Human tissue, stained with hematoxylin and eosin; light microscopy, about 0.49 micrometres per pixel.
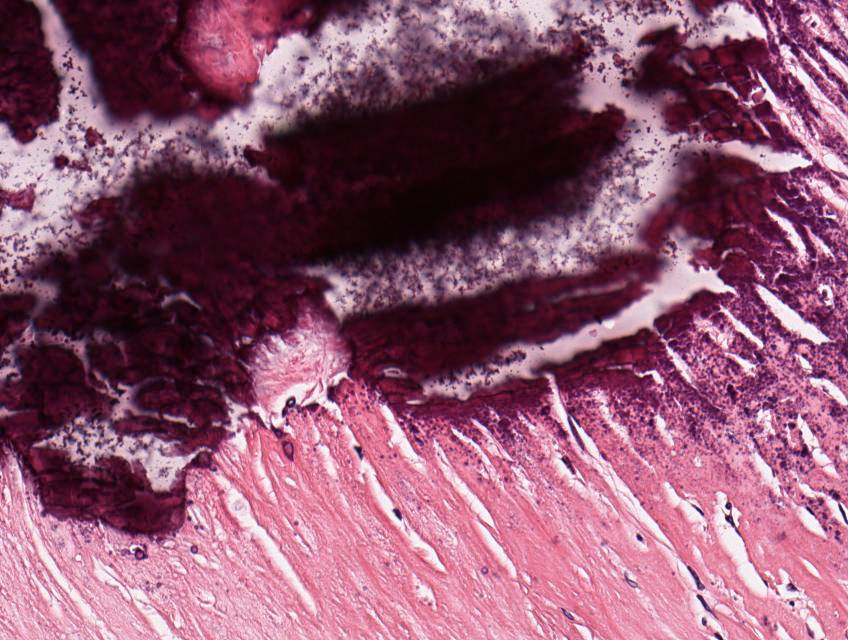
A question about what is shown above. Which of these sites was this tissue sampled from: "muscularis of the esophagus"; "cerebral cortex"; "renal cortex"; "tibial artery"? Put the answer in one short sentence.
The site this tissue was sampled from is the tibial artery.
